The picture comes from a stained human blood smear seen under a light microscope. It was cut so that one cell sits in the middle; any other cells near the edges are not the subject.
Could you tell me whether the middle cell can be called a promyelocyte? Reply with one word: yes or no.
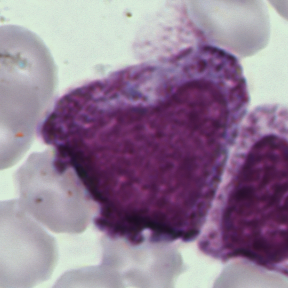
yes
